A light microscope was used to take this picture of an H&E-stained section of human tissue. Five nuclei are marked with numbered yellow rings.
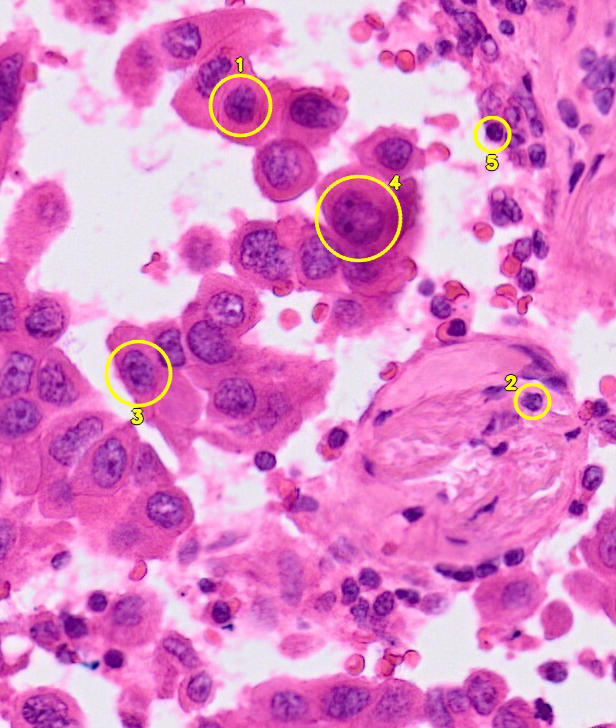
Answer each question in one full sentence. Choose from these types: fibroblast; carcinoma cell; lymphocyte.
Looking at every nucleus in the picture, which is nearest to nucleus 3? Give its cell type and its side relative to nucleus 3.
Just above and to the right of nucleus 3 lies the nearest nucleus, which belongs to a carcinoma cell.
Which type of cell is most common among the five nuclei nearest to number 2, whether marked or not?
Fibroblasts account for more than half of the five nuclei nearest to number 2.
